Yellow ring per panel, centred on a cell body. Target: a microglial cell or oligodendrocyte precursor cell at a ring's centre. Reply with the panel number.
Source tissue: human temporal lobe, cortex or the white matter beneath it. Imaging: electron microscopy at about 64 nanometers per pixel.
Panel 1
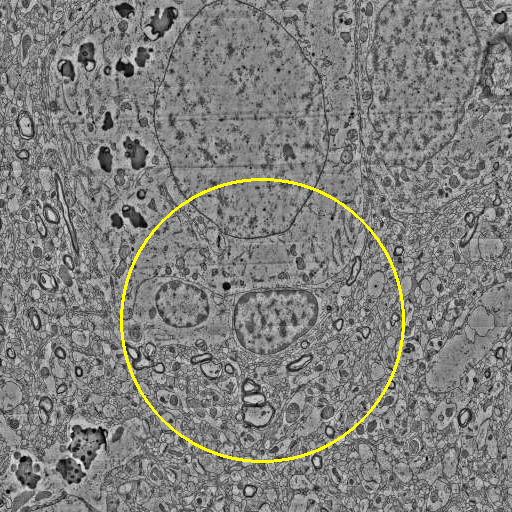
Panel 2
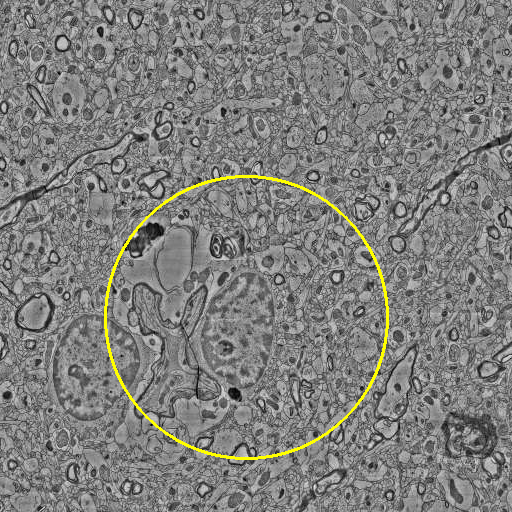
1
